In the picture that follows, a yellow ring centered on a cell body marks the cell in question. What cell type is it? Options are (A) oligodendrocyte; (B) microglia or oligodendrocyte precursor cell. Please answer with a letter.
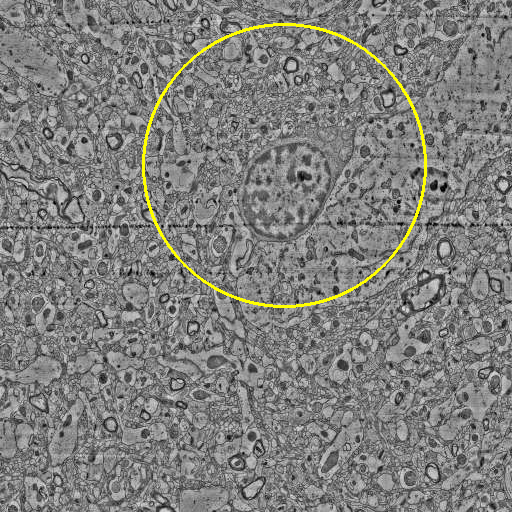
A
